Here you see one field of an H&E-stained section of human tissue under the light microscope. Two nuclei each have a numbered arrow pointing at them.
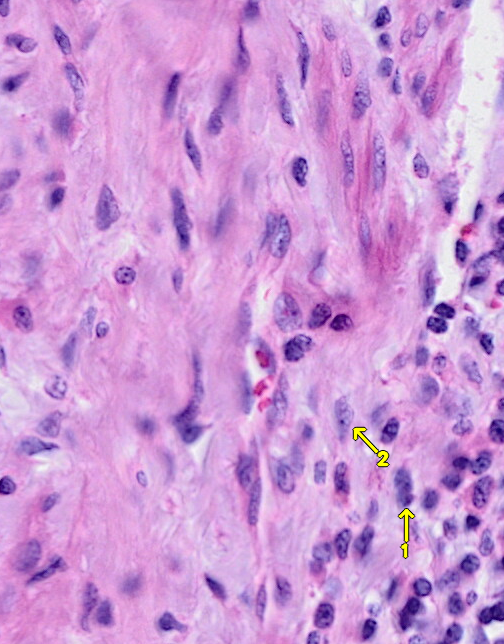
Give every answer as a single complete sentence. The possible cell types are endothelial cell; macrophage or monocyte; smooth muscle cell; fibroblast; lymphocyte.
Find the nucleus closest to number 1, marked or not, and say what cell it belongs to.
The nearest nucleus to number 1 belongs to a lymphocyte.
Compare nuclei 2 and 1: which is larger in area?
Nucleus 2 covers more area, about 3 times as much as nucleus 1.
